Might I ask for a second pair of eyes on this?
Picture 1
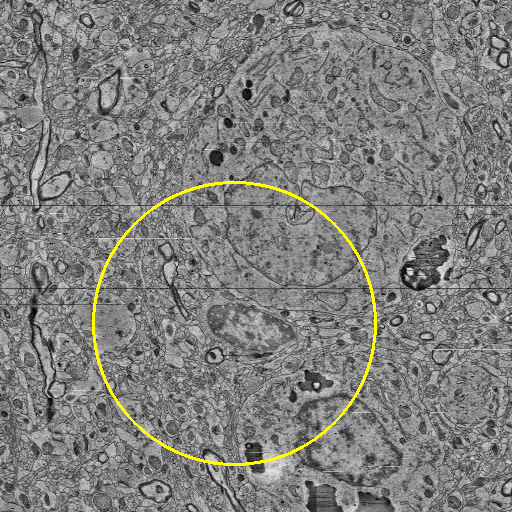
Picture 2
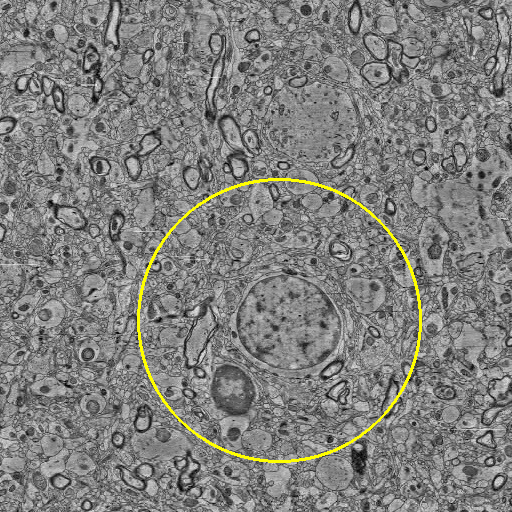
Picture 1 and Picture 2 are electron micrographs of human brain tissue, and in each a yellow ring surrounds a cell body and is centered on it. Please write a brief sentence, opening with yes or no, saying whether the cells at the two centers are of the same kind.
No, the cells are of two kinds.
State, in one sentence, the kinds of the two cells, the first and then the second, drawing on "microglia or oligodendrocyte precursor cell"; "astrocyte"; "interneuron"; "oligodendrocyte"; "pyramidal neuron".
The ring in the second picture is centred on a microglial cell or oligodendrocyte precursor cell, the ring in the first on an oligodendrocyte.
